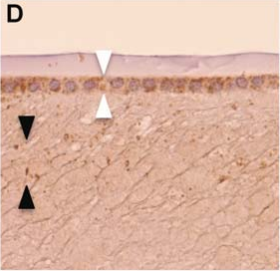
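Anterior lens with a thin pale capsule over a single row of small epithelial cells. The epithelial cells have round nuclei and brown-stained cytoplasm forming a continuous brown line. The underlying cortical fibres are light brown with scattered small brown puncta.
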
